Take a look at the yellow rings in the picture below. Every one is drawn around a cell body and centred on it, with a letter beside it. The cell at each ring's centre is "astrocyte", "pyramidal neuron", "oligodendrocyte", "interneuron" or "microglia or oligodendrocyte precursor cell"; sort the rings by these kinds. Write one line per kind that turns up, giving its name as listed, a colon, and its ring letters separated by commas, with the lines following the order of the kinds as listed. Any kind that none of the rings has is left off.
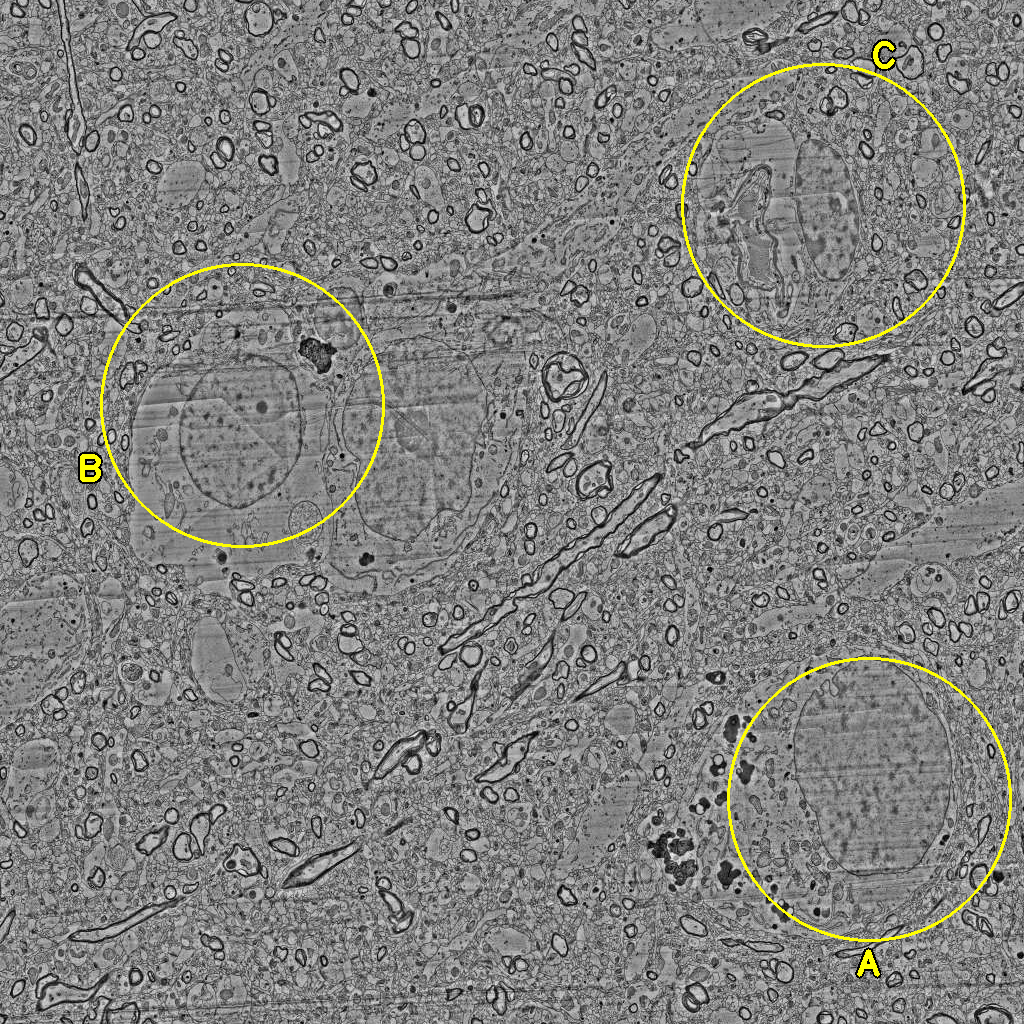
astrocyte: B
interneuron: A
microglia or oligodendrocyte precursor cell: C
